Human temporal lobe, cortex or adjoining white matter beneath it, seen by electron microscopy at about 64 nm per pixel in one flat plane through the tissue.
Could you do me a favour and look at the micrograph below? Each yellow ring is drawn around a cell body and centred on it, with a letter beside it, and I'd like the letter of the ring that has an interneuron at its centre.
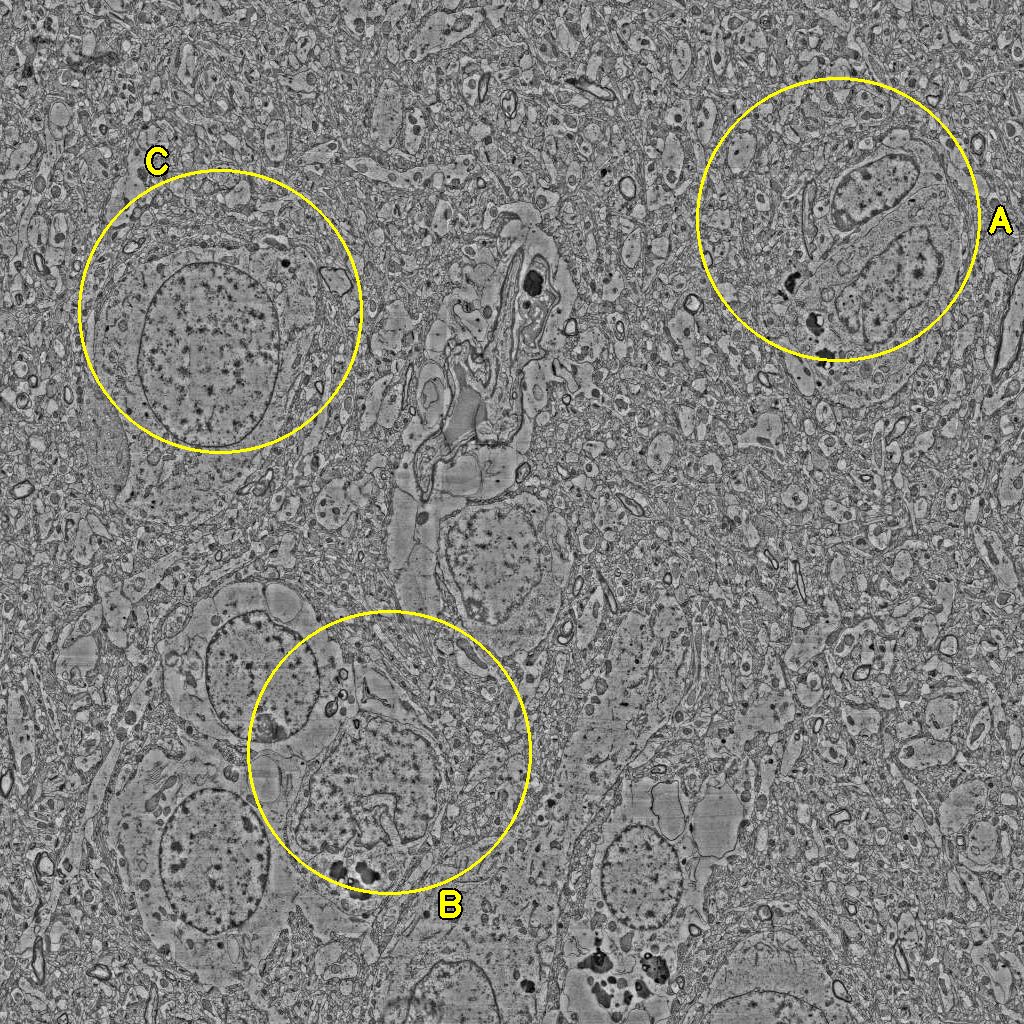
B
